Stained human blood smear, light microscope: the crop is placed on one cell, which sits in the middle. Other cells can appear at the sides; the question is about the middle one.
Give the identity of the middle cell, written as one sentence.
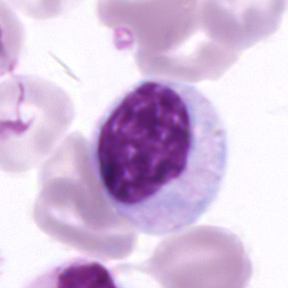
The middle position in this crop is taken by a metamyelocyte.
